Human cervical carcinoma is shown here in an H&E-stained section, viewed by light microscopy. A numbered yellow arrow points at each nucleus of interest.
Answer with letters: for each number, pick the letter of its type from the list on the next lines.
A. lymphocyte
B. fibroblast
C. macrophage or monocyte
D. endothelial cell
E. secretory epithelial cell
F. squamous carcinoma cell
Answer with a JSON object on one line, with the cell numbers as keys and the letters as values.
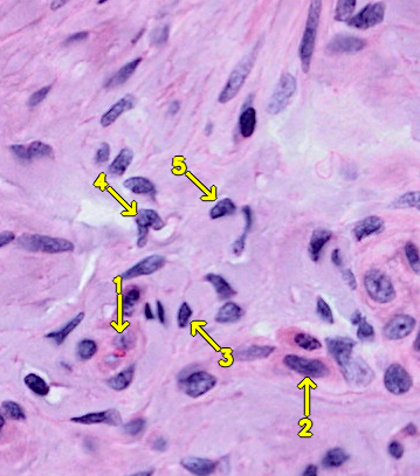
{"1": "D", "2": "D", "3": "B", "4": "C", "5": "B"}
